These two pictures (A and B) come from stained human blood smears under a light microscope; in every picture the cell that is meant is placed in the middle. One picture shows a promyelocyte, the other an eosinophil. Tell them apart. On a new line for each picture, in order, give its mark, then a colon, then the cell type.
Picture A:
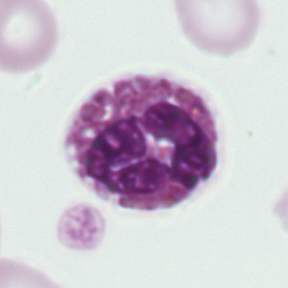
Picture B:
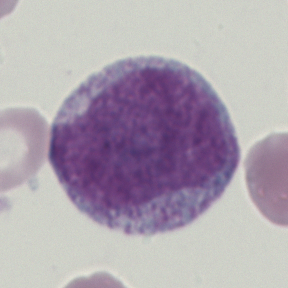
A: eosinophil
B: promyelocyte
